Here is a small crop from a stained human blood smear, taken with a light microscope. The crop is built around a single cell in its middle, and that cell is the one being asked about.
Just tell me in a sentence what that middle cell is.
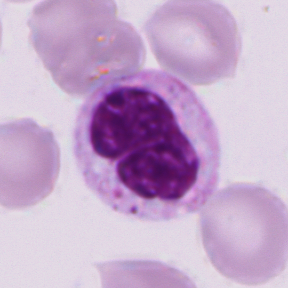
Present in the middle of the crop is a band neutrophil.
